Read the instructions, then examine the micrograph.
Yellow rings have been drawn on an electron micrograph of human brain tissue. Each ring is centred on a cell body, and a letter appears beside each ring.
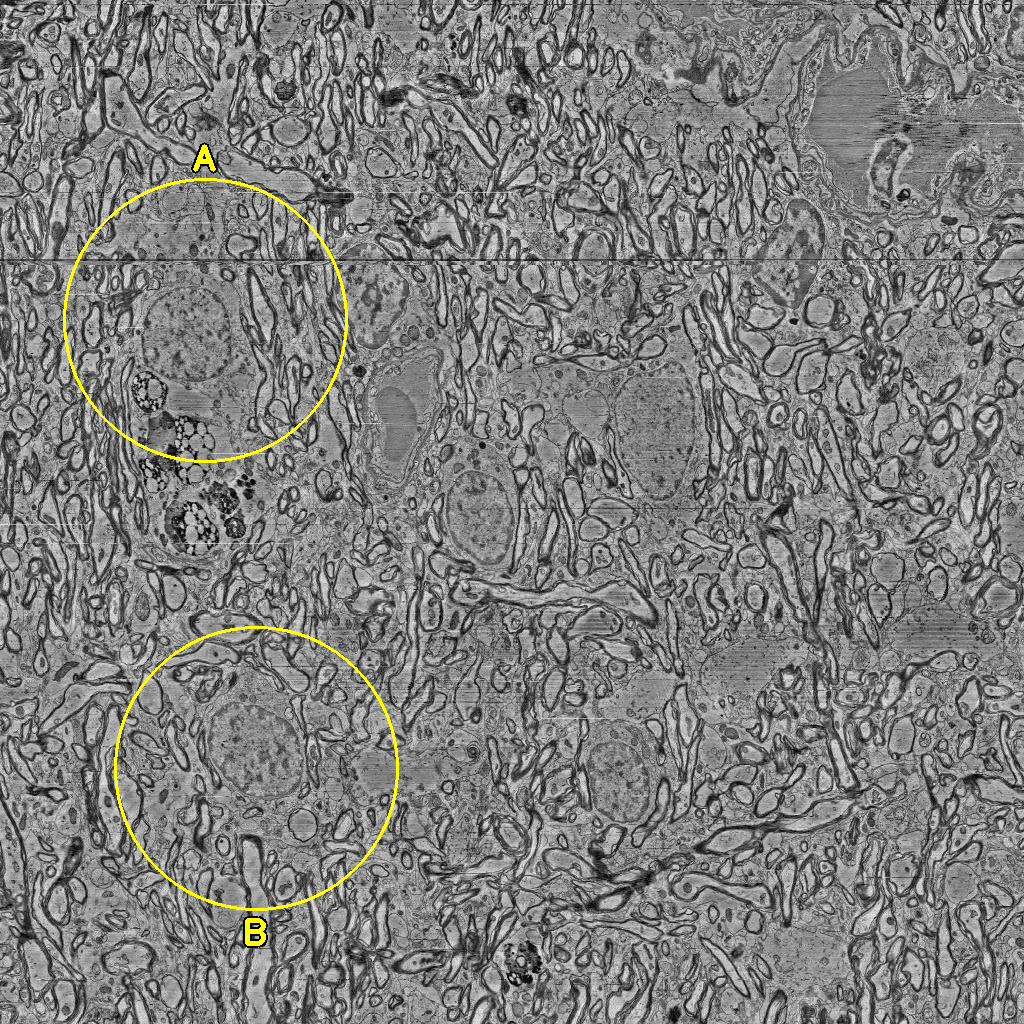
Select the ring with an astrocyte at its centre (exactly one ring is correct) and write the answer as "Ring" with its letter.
Ring A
